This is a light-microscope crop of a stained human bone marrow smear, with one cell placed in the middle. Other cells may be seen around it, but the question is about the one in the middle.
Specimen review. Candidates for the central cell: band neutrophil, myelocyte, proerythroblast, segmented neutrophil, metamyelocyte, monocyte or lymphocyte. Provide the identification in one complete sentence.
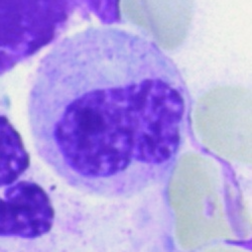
The cell nearest the centre of this crop is a band neutrophil.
